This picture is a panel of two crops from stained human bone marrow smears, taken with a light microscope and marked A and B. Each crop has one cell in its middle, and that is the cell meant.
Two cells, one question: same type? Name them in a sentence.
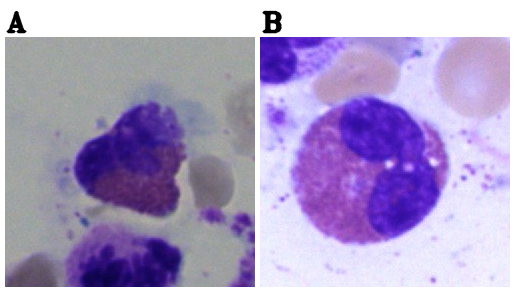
Yes, both crops show eosinophils in their central position.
